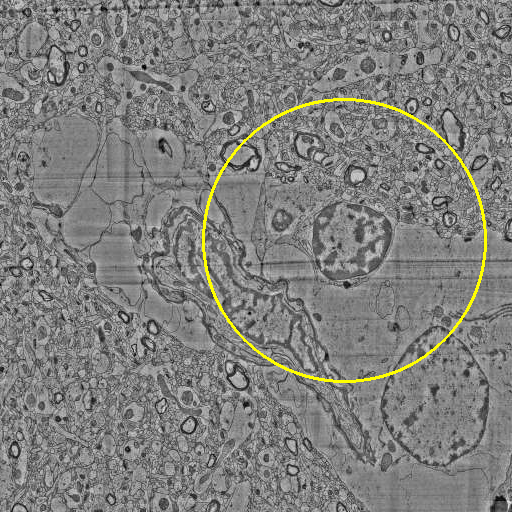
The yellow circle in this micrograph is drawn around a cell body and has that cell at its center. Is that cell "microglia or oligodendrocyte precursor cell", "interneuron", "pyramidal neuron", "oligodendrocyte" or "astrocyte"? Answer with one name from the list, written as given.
microglia or oligodendrocyte precursor cell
